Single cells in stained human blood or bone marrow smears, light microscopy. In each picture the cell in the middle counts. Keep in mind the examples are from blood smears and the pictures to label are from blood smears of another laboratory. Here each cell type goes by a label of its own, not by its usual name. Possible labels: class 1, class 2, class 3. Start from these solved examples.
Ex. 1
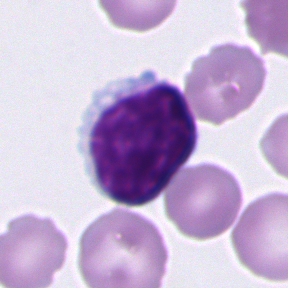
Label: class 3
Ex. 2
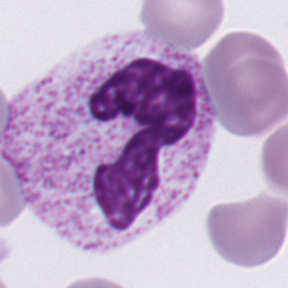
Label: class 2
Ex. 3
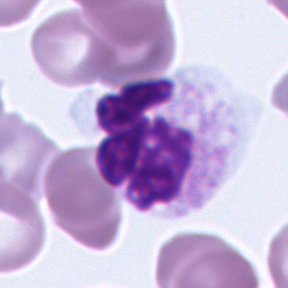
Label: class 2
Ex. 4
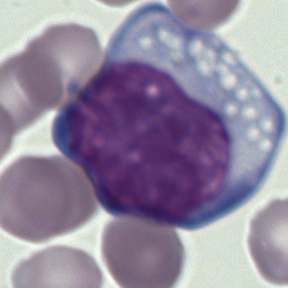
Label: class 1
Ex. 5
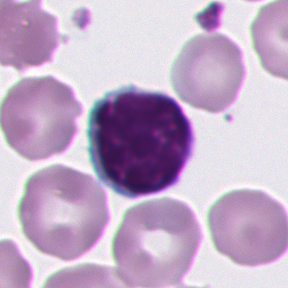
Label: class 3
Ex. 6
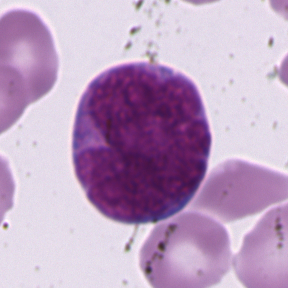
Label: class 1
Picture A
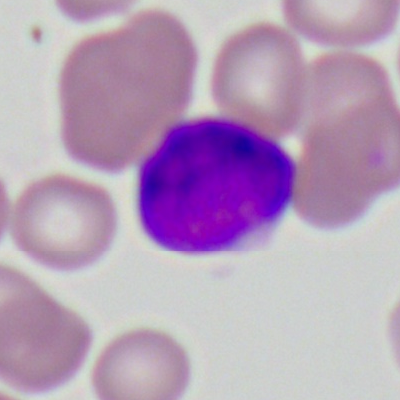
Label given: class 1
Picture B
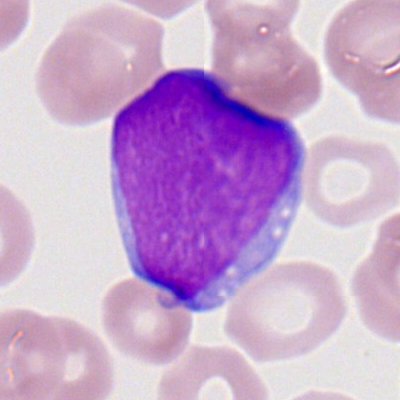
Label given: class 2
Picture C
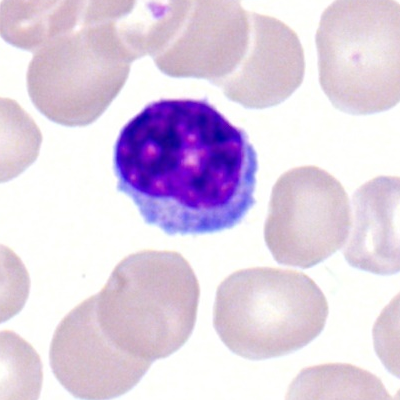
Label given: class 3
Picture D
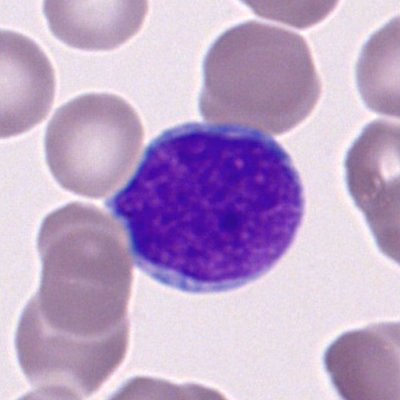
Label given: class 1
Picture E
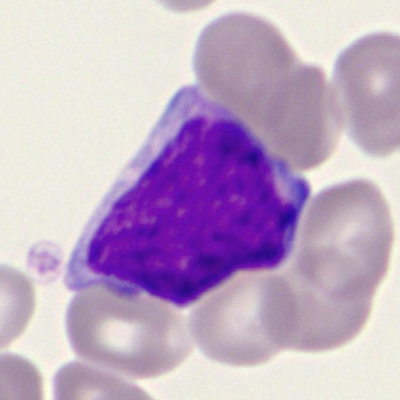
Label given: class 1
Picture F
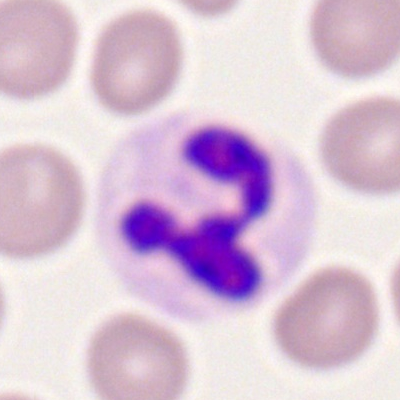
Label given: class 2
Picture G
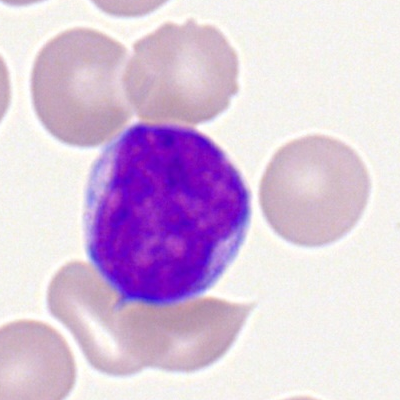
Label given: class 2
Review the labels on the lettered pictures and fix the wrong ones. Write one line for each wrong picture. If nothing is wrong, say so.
B: class 1, not class 2
G: class 1, not class 2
